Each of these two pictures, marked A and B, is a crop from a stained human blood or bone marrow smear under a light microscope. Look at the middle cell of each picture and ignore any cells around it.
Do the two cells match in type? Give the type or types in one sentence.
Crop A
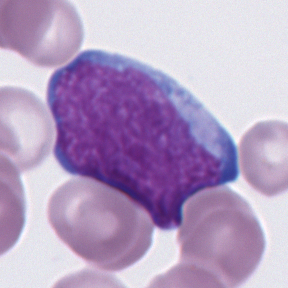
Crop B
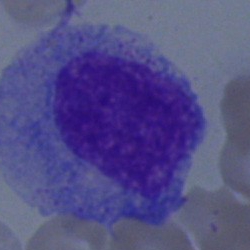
No, at the centre of crop A is a blast, and at the centre of crop B is a myelocyte.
